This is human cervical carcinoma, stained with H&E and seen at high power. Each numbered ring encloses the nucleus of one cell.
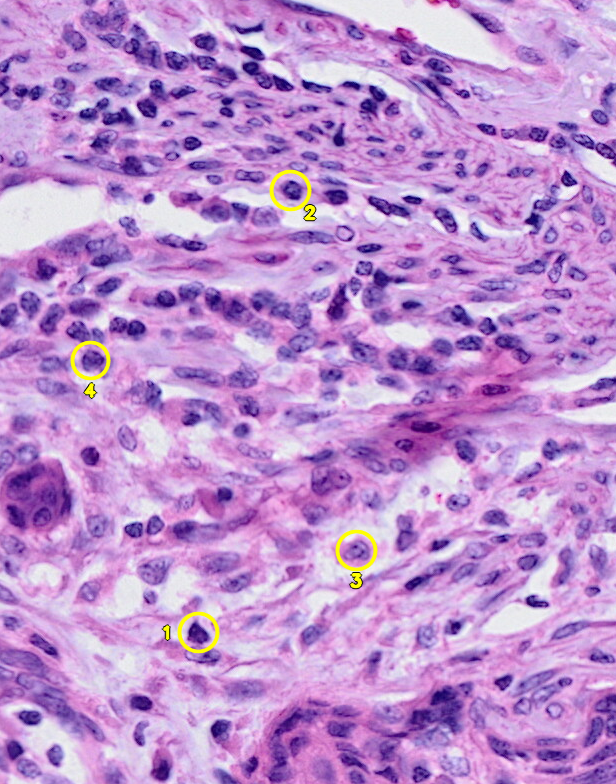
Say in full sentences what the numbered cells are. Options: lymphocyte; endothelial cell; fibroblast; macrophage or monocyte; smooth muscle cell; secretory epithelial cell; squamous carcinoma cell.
Cells 1, 2 and 4 are lymphocytes. Cell 3 is a macrophage or monocyte.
